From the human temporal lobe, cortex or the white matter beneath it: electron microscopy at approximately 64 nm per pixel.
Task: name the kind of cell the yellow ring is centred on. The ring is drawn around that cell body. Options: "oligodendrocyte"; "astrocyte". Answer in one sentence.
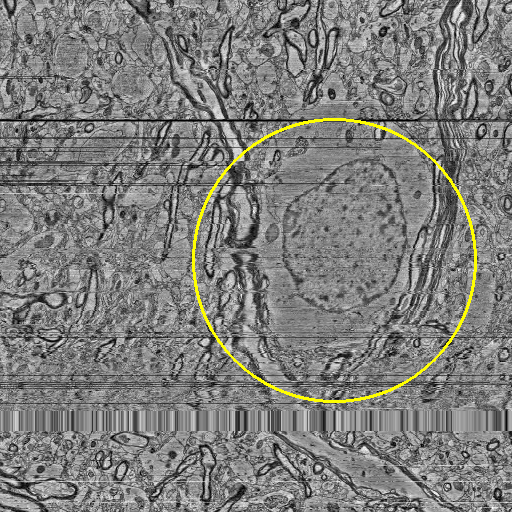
This cell body belongs to an astrocyte.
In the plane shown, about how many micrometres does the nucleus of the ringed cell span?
The ringed cell's nucleus measures approximately 10 by 8 micrometres in this plane.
